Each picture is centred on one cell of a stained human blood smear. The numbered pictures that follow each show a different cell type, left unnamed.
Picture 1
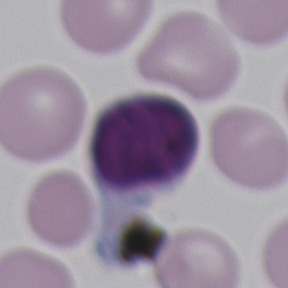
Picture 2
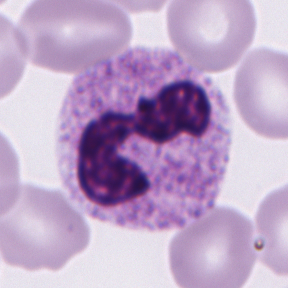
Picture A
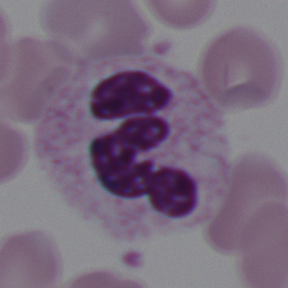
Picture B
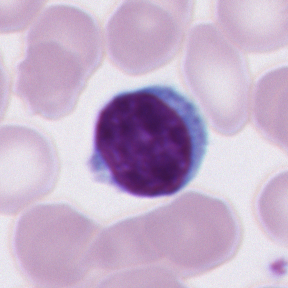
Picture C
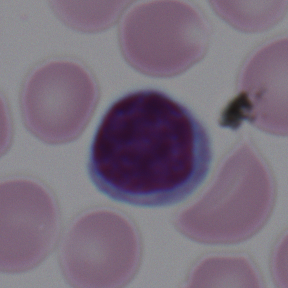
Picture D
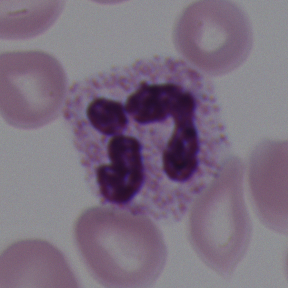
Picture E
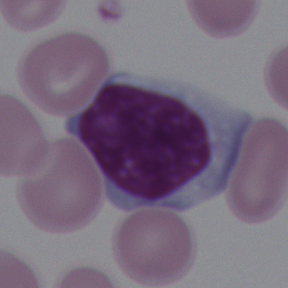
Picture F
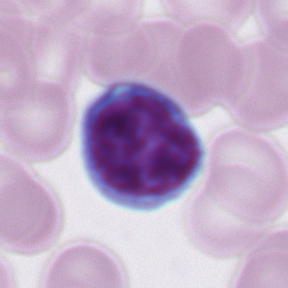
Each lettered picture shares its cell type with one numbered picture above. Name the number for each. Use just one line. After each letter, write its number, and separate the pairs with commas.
A 2, B 1, C 1, D 2, E 1, F 1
